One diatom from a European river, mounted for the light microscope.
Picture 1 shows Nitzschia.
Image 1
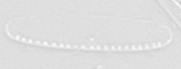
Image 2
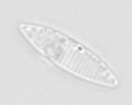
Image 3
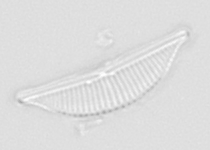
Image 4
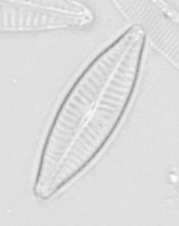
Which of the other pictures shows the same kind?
Picture 2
